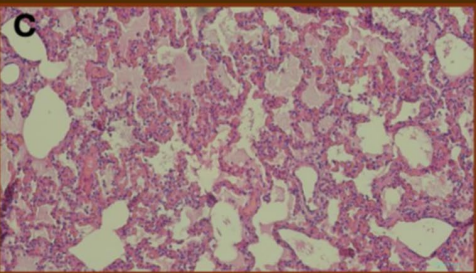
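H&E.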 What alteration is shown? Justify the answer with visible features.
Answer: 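Severe septal blood congestion. Alveolar septa thickened and crowded with red blood cells. Pale pink homogeneous material in many alveolar spaces.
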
